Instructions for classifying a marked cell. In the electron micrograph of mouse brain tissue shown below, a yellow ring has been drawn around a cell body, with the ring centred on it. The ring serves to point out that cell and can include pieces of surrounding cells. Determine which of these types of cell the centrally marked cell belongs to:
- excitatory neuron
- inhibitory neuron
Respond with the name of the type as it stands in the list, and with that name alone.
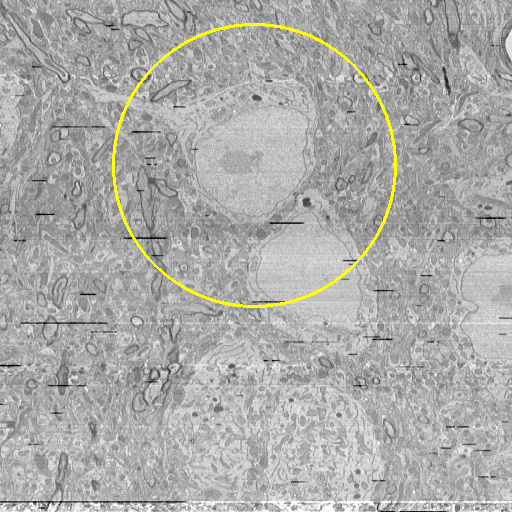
inhibitory neuron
